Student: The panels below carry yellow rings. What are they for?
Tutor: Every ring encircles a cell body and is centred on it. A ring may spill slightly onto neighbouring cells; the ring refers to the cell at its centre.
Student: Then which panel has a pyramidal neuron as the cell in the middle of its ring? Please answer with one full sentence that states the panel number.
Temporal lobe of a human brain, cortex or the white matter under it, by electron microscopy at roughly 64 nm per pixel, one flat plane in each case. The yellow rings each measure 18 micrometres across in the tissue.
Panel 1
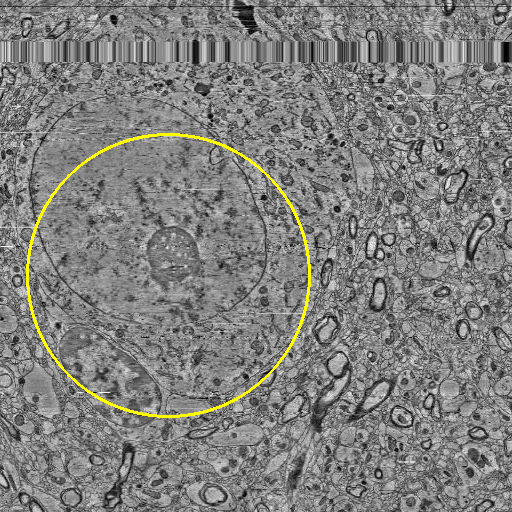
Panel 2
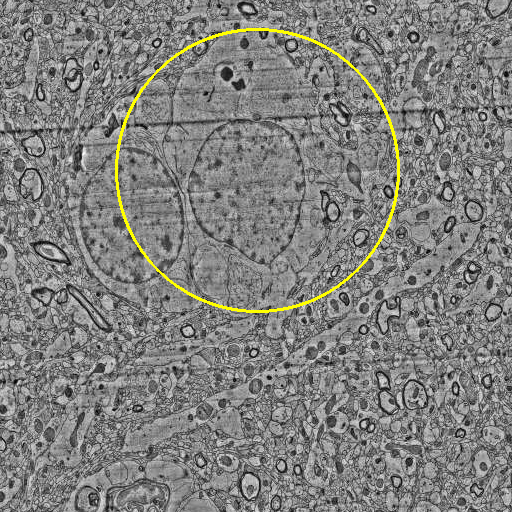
In Panel 1, the cell centred in the ring is the one sought.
